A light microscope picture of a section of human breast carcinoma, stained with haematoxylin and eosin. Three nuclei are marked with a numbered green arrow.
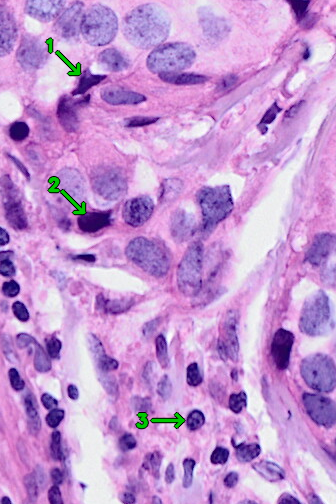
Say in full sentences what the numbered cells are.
Cell 1 is a carcinoma cell, cell 2 is a carcinoma cell and cell 3 is a lymphocyte.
